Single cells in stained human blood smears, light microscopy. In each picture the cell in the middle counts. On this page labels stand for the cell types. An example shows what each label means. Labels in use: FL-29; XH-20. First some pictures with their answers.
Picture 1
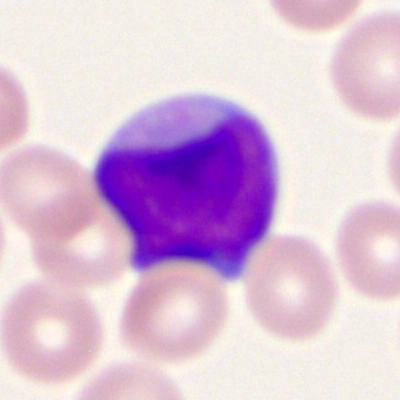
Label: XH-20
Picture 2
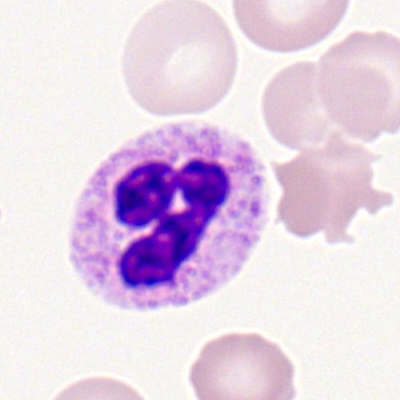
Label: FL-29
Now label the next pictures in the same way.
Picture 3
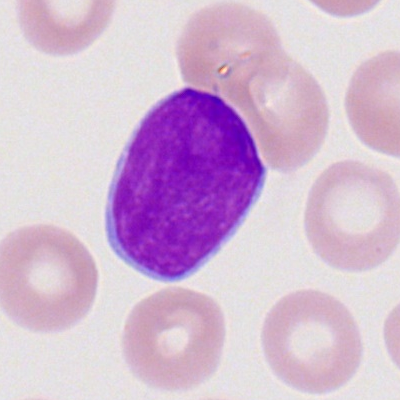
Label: XH-20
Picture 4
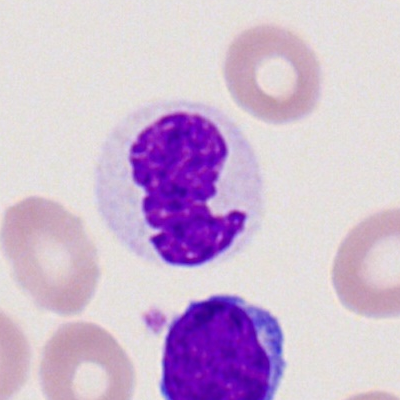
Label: FL-29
